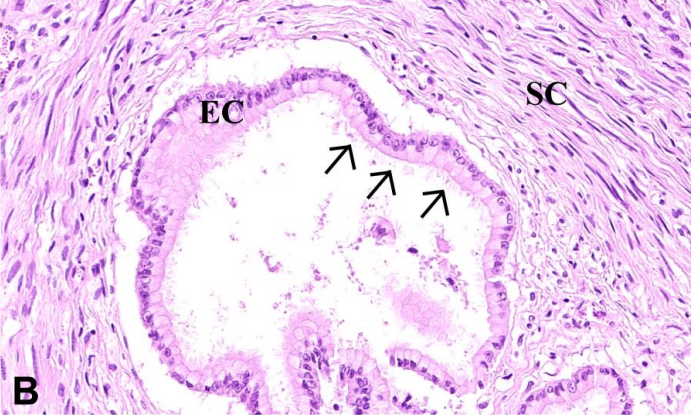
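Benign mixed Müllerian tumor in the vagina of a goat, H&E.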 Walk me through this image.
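A duct lined by a single layer of tall columnar epithelial cells lies within a stroma of spindle cells. The lumen is wide and holds scant pale material and a few shed cells. Around the duct, elongated spindle cells with slender nuclei run in streams through pink stroma.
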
